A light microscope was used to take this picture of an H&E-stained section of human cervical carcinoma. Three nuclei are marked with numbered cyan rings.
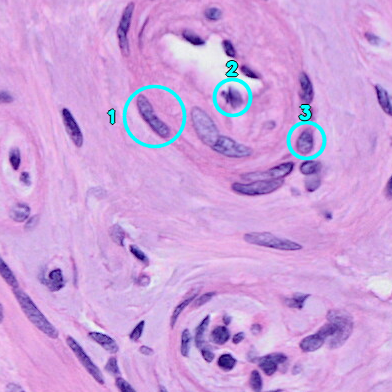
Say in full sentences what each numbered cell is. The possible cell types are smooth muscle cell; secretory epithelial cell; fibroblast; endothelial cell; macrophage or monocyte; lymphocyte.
Cells 1 and 3 are smooth muscle cells. Cell 2 is an endothelial cell.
